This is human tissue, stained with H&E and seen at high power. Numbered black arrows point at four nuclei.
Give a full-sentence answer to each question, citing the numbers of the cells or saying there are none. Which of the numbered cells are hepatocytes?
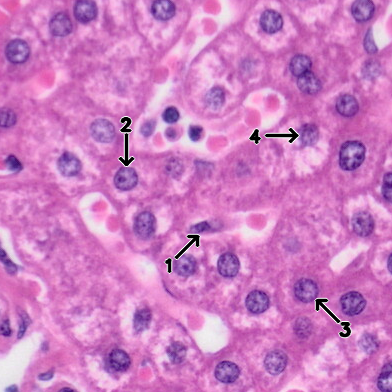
Cells 2, 3 and 4 in the section are typed as hepatocytes.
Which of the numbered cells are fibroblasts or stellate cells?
None of the cells labelled with numbers belong to the fibroblasts or stellate cells.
